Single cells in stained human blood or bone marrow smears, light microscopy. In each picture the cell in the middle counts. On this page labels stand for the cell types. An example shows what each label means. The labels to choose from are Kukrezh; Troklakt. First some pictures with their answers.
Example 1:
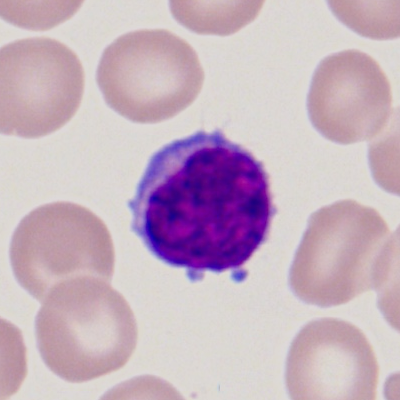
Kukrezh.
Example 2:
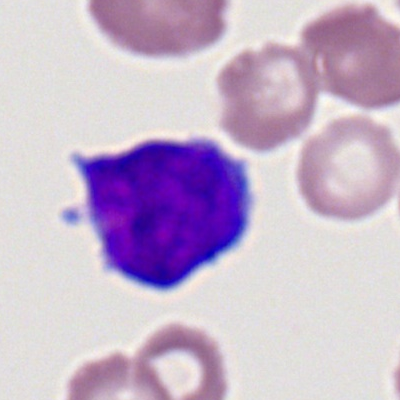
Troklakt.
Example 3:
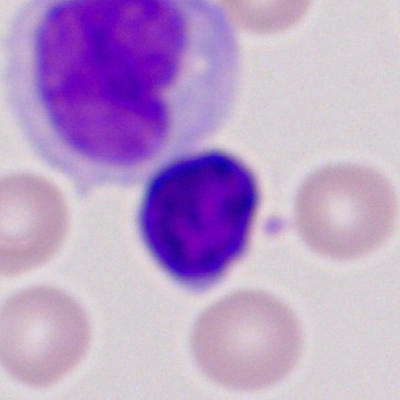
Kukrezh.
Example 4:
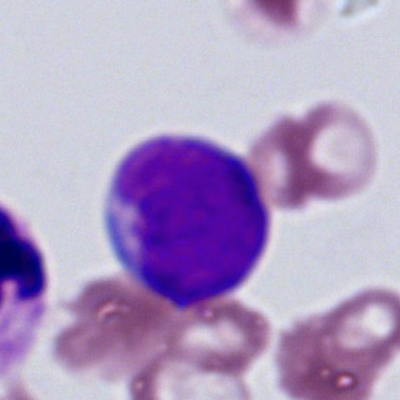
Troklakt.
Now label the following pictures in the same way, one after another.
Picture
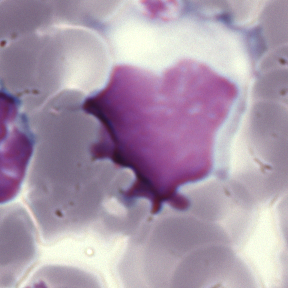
Kukrezh.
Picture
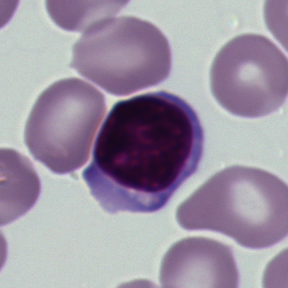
Kukrezh.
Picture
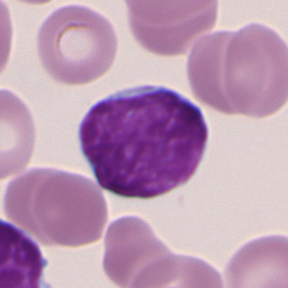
Kukrezh.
